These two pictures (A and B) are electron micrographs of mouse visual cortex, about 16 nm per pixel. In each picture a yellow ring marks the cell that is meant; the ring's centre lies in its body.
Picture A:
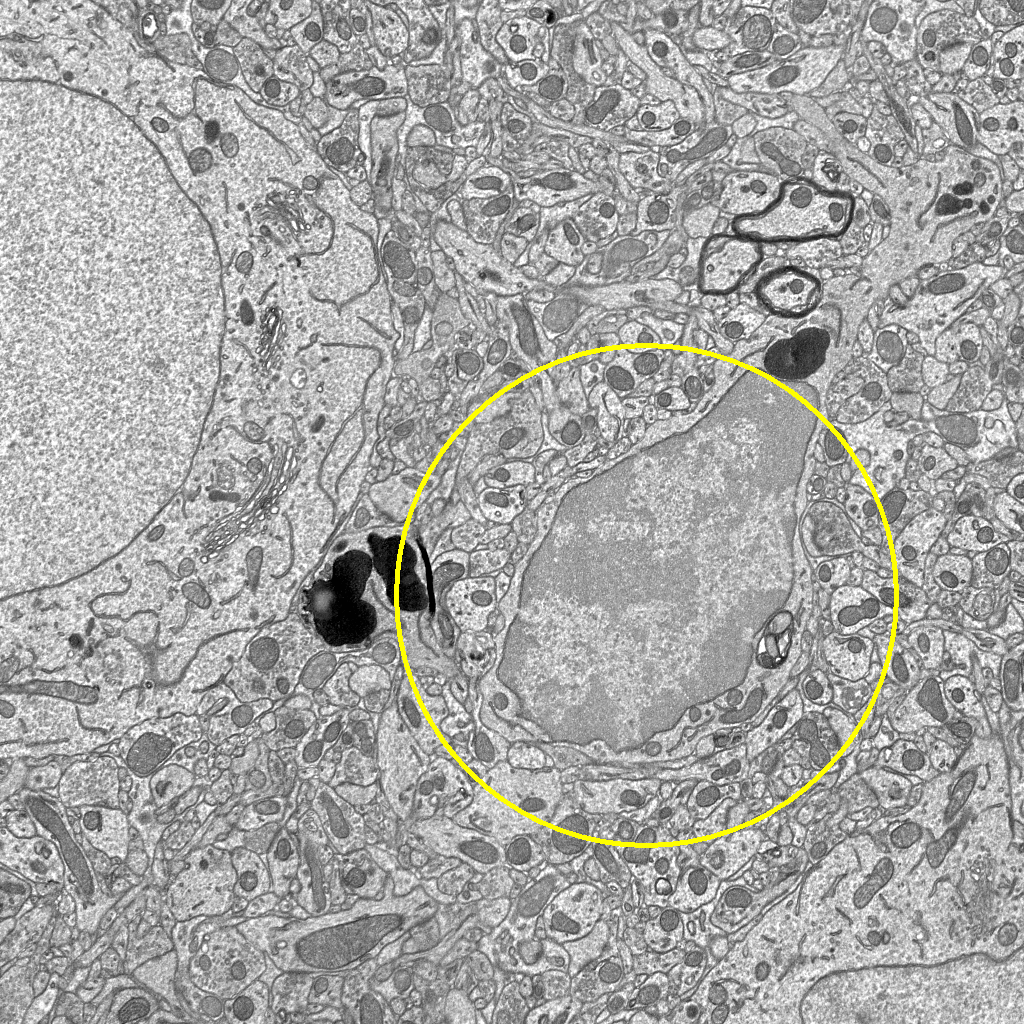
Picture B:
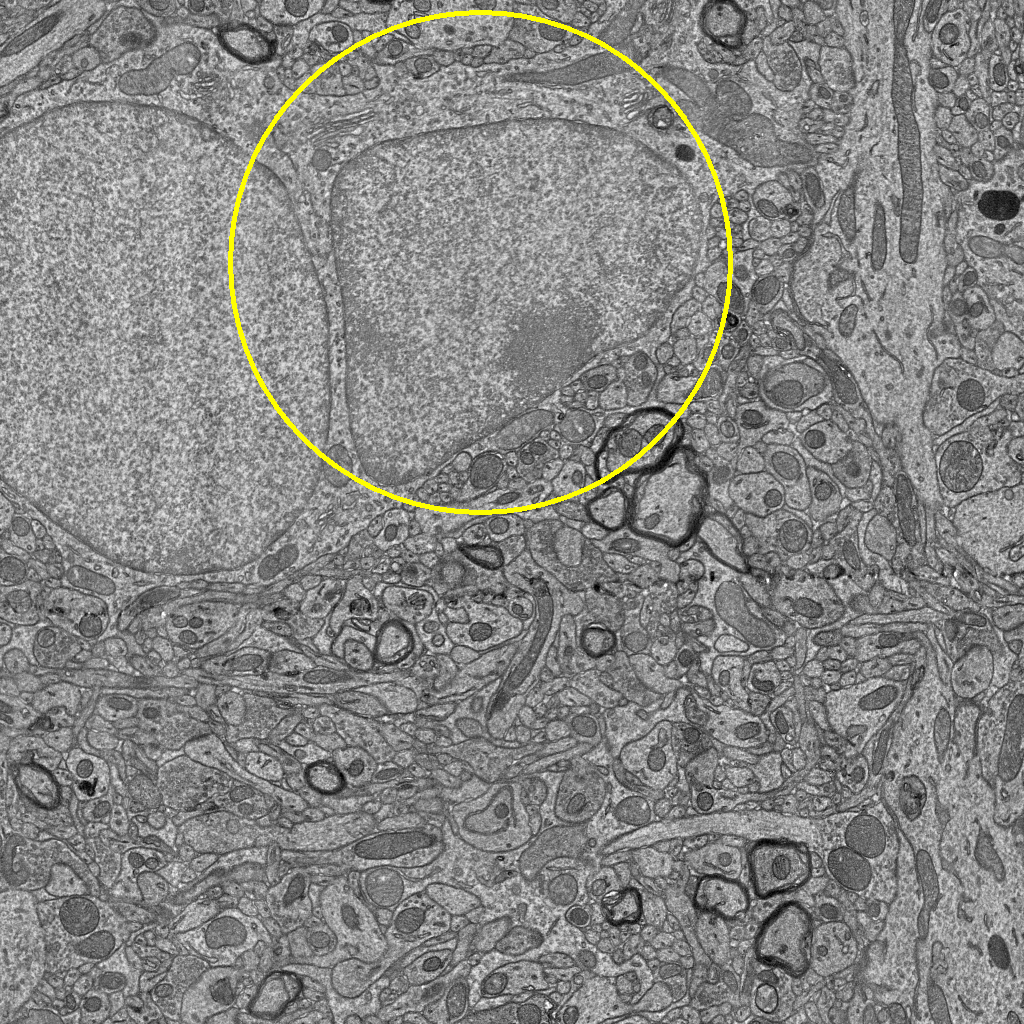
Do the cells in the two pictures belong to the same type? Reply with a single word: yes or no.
no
